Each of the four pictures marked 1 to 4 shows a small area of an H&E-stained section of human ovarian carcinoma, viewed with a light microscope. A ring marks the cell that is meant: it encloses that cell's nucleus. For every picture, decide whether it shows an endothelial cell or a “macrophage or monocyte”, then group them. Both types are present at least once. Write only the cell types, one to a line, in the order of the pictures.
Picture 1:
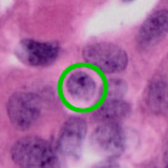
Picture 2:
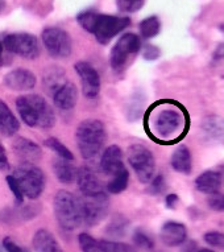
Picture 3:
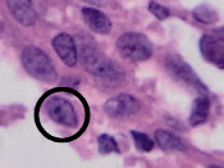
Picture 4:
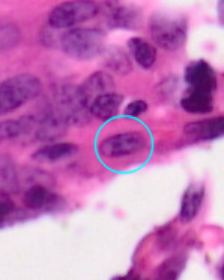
macrophage or monocyte
macrophage or monocyte
macrophage or monocyte
endothelial cell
